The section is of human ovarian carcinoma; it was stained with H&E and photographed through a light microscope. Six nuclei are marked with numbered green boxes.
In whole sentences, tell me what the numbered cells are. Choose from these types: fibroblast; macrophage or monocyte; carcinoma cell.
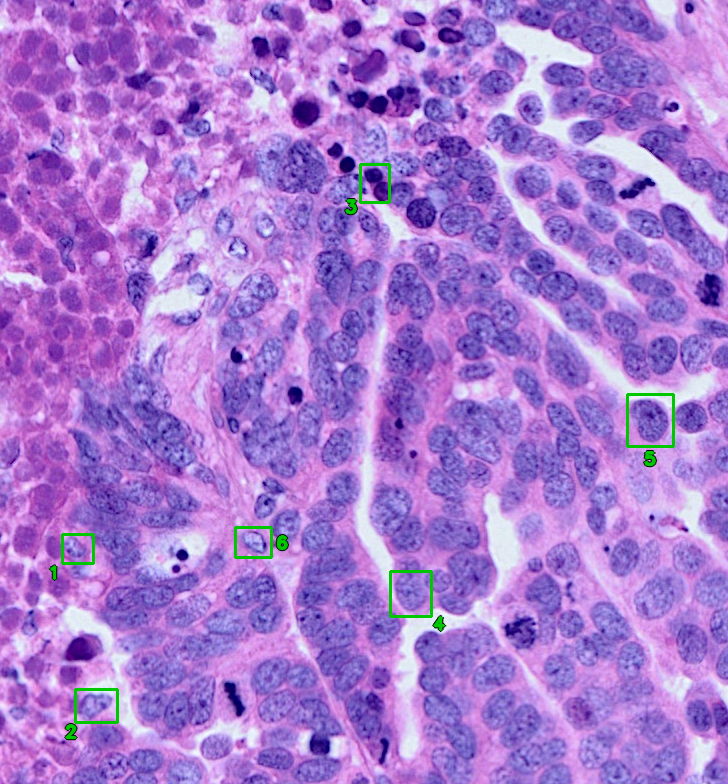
Cells 1 and 2 are macrophages or monocytes. Cells 3, 4 and 5 are carcinoma cells. Cell 6 is a fibroblast.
